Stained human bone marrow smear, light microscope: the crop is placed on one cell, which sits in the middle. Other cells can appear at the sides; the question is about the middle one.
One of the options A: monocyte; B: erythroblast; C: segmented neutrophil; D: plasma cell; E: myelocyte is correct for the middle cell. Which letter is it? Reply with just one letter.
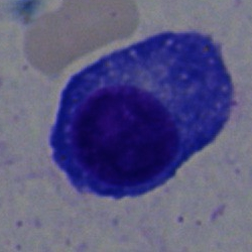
D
